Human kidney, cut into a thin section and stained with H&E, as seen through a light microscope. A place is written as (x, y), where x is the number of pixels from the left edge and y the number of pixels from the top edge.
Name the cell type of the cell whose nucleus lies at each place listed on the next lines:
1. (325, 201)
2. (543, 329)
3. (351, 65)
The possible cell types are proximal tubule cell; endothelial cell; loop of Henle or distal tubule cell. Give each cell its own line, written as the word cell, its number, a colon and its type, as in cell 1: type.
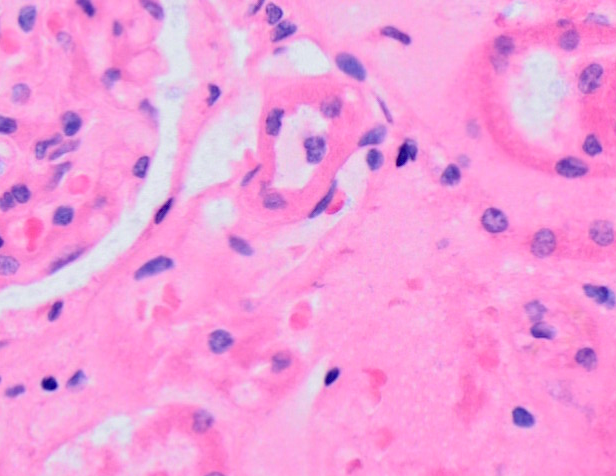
cell 1: endothelial cell
cell 2: proximal tubule cell
cell 3: endothelial cell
